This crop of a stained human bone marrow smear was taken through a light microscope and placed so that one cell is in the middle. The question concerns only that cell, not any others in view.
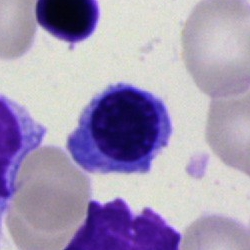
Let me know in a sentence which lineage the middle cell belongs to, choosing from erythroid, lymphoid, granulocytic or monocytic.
By lineage, the cell in the middle of the crop is erythroid.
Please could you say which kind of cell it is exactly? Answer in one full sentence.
The cell at the middle of the crop is recognized as an erythroblast.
